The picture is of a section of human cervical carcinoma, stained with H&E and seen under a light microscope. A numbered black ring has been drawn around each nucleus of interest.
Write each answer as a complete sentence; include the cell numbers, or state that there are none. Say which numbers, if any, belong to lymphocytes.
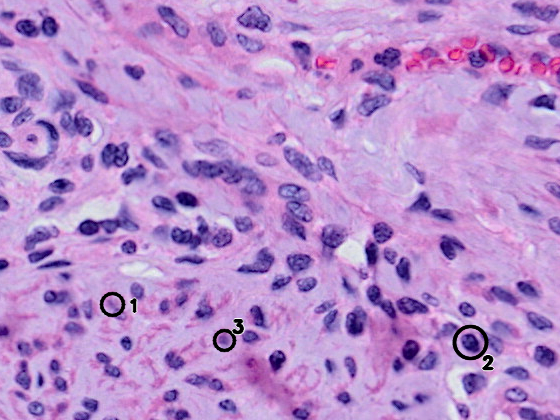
The numbered cell that is a lymphocyte is cell 2, and it is the only one.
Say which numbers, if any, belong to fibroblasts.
Checking each numbered cell, none of them turn out to be fibroblasts.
